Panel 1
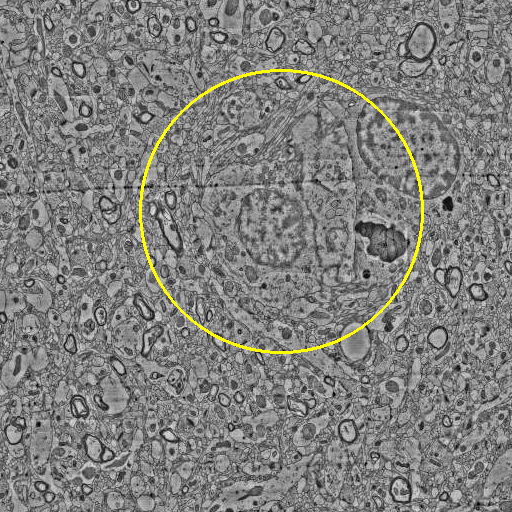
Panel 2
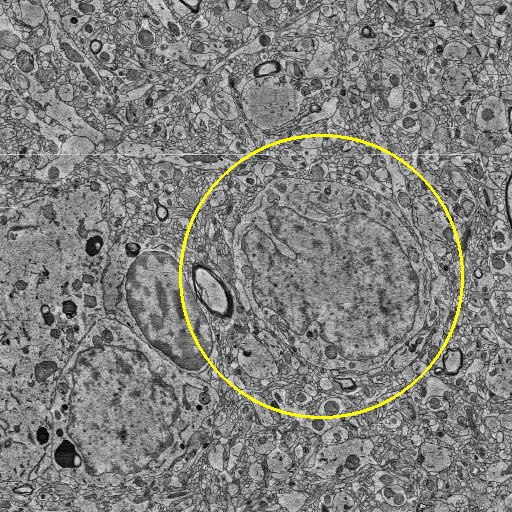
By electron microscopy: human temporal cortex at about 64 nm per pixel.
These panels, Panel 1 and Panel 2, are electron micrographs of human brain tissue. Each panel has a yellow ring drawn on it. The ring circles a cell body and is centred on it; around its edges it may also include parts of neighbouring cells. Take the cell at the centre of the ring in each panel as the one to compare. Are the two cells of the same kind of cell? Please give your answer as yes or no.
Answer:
yes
